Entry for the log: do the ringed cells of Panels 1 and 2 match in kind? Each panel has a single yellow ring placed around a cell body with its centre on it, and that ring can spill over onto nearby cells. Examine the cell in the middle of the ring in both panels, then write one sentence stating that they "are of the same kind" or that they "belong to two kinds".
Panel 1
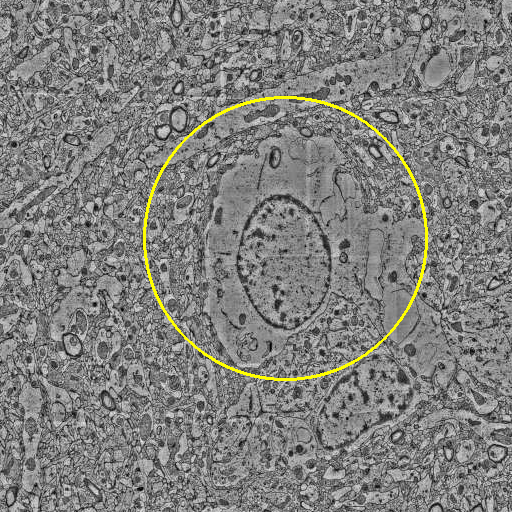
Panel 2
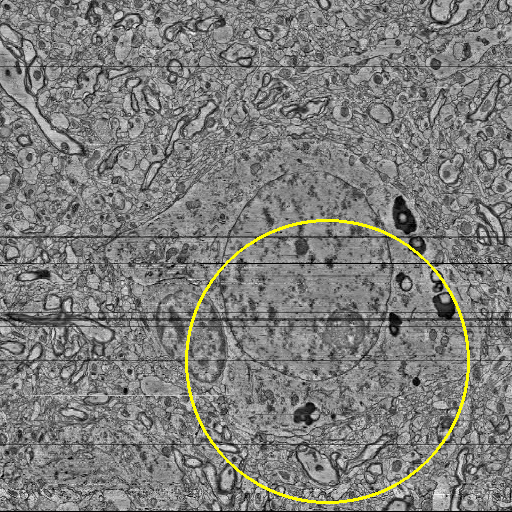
The centre cell of Panel 1's ring and that of Panel 2's ring belong to two kinds.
